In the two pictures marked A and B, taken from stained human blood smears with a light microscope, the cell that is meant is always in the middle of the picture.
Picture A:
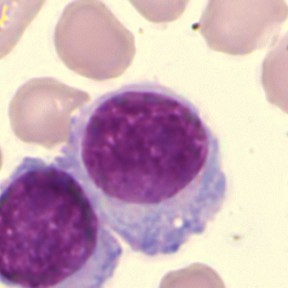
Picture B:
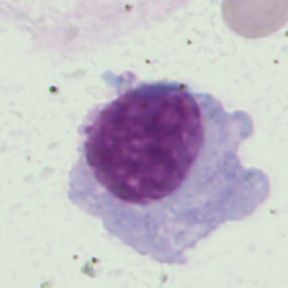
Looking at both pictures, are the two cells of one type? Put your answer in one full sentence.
Yes; the cells in both pictures are plasma cells.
